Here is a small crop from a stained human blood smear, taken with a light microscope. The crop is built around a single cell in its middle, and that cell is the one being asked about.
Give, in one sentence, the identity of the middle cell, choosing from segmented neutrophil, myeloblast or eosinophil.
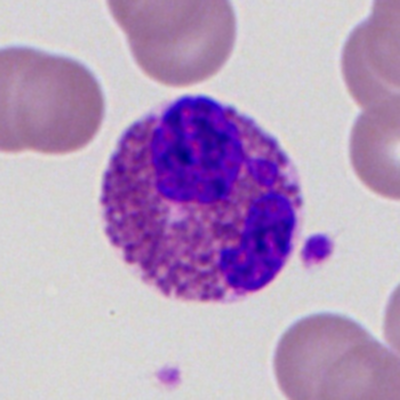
Centrally within this crop lies an eosinophil.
